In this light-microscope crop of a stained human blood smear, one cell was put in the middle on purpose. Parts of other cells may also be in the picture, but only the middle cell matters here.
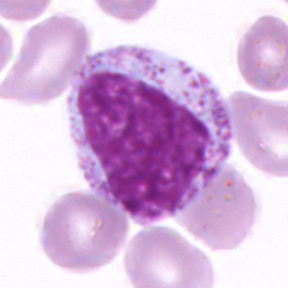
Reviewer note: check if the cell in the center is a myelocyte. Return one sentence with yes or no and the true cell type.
Yes, the cell of interest in the centre is a myelocyte.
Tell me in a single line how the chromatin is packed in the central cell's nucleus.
You can see that its chromatin is coarsely clumped.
